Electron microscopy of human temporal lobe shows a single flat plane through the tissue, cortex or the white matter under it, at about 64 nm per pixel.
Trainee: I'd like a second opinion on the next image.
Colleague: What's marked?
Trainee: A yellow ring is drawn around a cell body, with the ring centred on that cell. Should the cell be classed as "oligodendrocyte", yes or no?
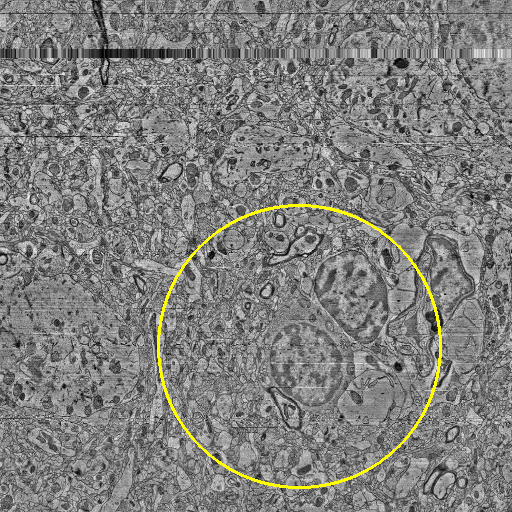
Yes, it should.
